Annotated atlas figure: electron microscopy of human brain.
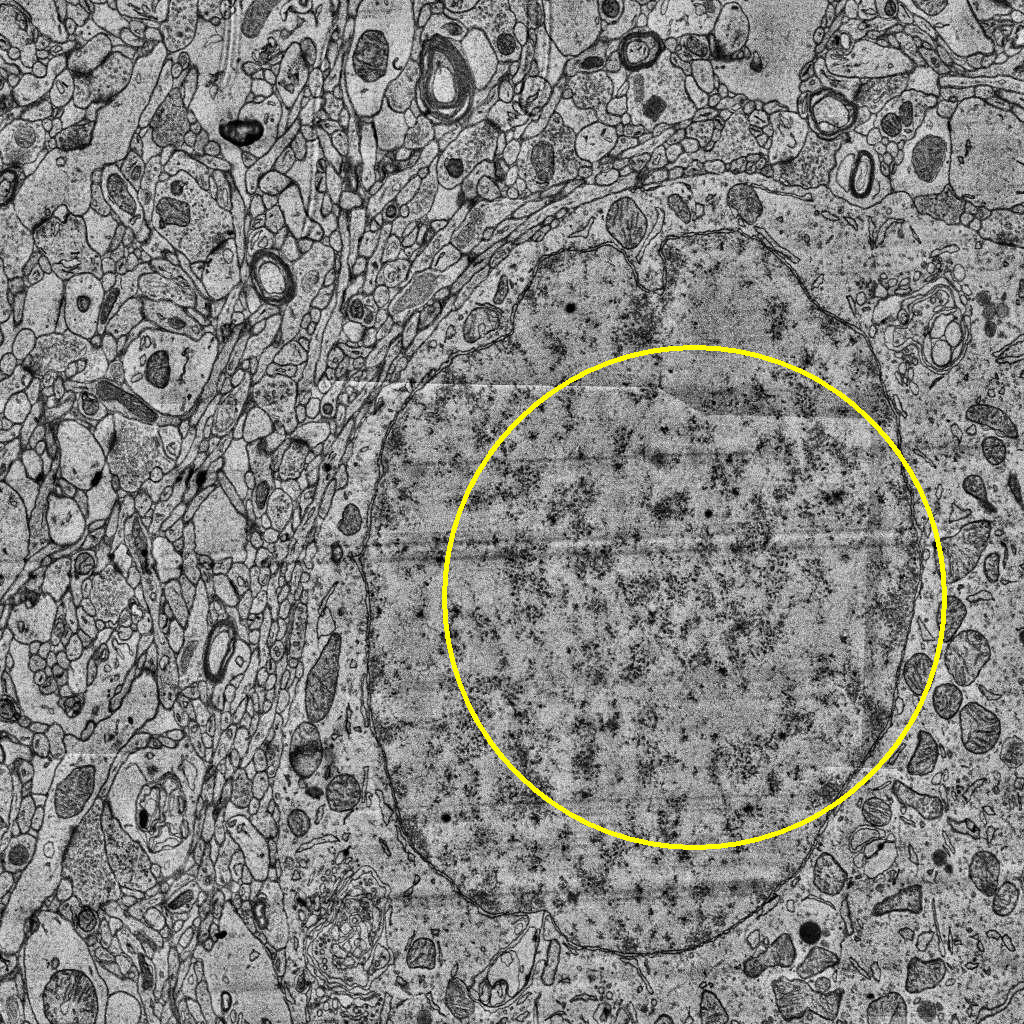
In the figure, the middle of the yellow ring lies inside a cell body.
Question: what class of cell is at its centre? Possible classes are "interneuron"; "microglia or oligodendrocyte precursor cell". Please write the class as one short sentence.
The yellow ring's centre lies in an interneuron.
